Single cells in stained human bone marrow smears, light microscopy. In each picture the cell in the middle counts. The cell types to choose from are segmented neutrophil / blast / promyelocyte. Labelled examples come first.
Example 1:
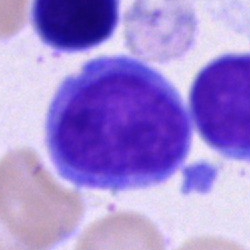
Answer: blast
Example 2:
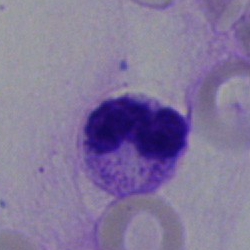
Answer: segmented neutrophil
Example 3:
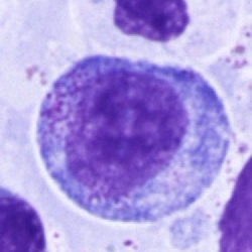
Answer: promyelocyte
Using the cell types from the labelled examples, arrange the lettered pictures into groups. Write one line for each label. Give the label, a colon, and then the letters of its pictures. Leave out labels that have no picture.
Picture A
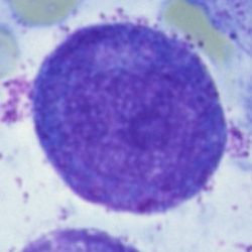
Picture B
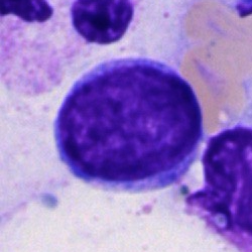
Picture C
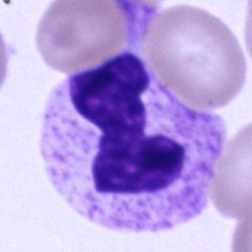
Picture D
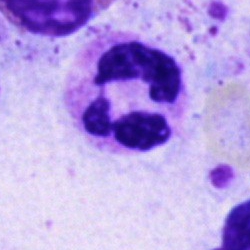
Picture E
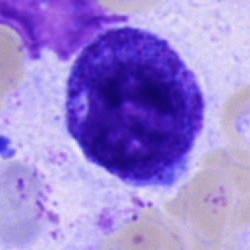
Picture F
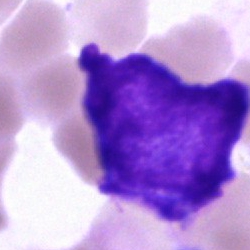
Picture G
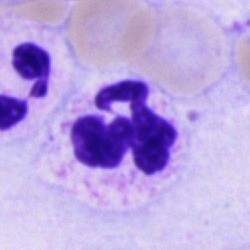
segmented neutrophil: C, D, G
blast: B, F
promyelocyte: A, E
